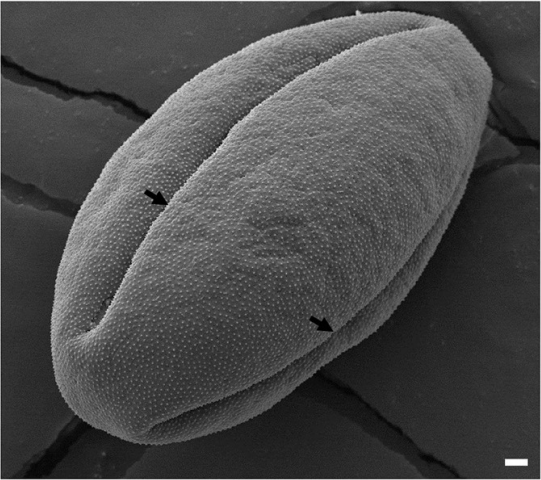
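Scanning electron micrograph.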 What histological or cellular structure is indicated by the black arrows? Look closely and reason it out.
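The arrows point to long furrows running lengthwise along the grain surface. The grain is ellipsoid with a finely granular surface. That points to this answer: apertures.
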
